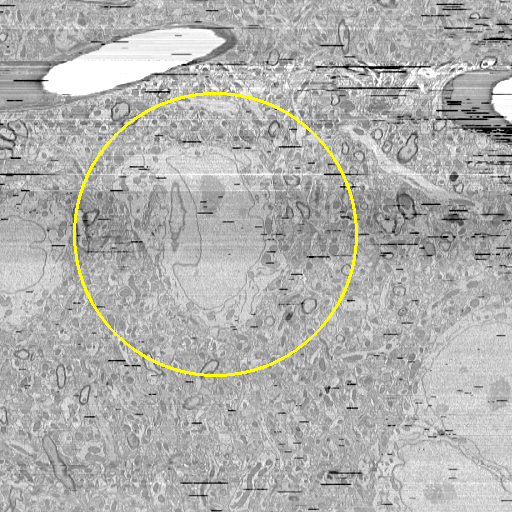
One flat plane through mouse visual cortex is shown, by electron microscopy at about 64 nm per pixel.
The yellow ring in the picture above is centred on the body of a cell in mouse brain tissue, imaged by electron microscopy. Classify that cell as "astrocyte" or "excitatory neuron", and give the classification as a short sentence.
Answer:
The cell in the middle of the ring is an excitatory neuron.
